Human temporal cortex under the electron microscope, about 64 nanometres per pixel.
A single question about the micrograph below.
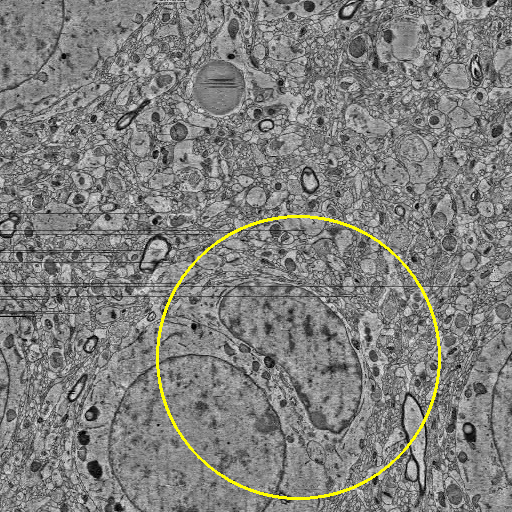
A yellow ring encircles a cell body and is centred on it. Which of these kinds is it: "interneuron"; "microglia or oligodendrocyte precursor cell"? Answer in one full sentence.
The cell body at the centre of the yellow ring belongs to a microglial cell or oligodendrocyte precursor cell.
